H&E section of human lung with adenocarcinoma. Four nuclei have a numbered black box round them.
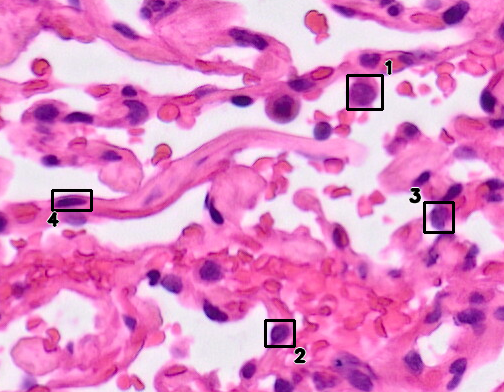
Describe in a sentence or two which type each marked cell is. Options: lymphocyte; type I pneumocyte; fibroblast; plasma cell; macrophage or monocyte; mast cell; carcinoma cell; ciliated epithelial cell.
Cell 1 is a macrophage or monocyte. Cells 2, 3 and 4 are type I pneumocytes.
